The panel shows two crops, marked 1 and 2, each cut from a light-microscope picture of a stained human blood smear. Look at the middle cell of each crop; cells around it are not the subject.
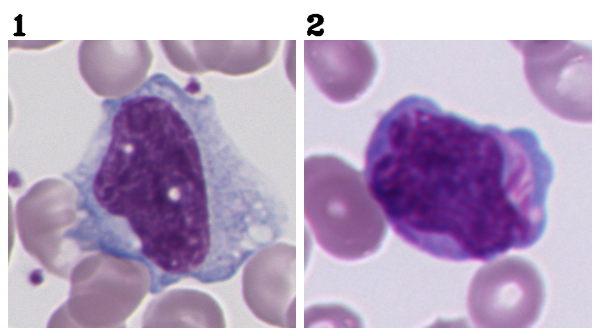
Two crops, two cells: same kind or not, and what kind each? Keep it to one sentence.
No, the cell that crop 1 shows is a monocyte, and the one crop 2 shows is an atypical promyelocyte.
